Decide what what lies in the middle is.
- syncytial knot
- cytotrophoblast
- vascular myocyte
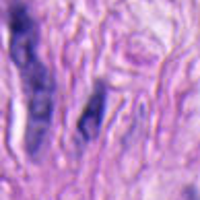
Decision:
vascular myocyte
